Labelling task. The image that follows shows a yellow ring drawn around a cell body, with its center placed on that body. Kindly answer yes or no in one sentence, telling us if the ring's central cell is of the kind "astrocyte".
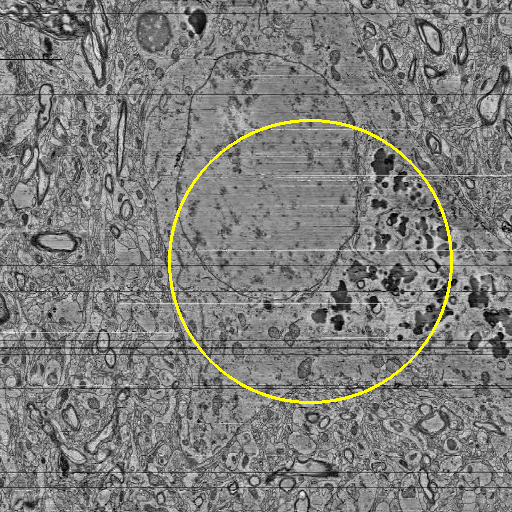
No, in this image the cell at the ring's center is of a different kind.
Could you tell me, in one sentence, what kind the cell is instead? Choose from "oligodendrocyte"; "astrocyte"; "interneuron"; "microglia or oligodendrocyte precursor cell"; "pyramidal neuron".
Instead, the cell at the centre of the yellow ring is a pyramidal neuron.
